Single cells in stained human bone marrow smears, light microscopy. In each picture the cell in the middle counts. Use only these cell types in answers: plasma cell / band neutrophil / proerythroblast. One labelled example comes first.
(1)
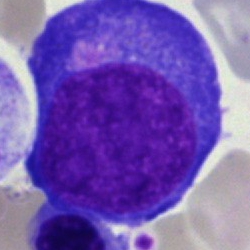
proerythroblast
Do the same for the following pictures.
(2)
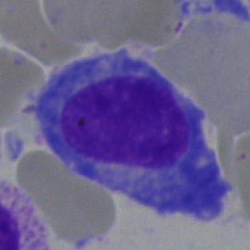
plasma cell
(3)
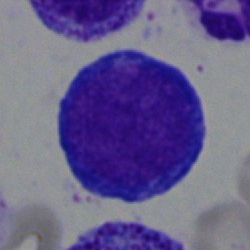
proerythroblast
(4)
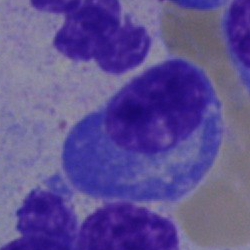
plasma cell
